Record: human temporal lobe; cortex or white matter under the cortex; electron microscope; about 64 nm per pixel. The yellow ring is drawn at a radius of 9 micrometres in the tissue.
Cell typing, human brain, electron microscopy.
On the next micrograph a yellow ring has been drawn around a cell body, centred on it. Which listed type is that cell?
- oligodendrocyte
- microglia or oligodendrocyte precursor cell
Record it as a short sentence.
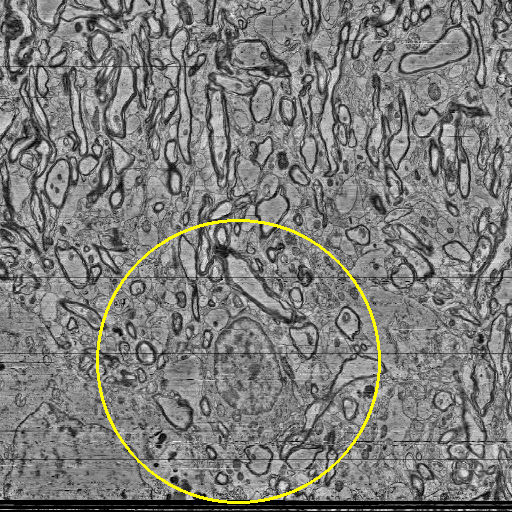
The cell body in the ring's centre belongs to an oligodendrocyte.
